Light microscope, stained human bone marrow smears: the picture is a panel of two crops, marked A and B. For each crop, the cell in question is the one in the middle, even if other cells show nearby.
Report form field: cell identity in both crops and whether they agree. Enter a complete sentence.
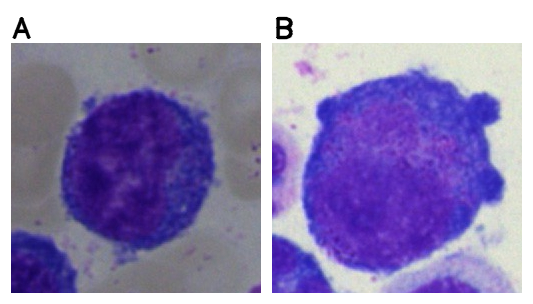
Yes, the cells of interest in both crops are promyelocytes.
